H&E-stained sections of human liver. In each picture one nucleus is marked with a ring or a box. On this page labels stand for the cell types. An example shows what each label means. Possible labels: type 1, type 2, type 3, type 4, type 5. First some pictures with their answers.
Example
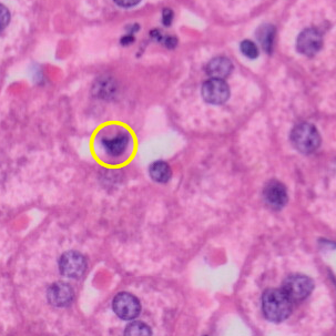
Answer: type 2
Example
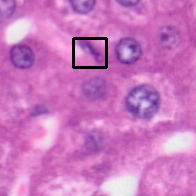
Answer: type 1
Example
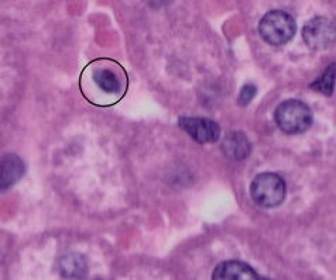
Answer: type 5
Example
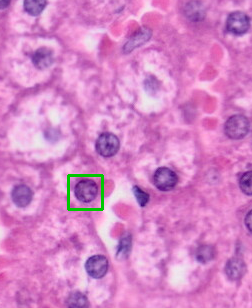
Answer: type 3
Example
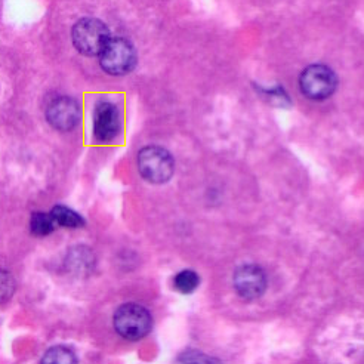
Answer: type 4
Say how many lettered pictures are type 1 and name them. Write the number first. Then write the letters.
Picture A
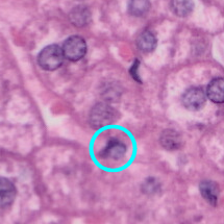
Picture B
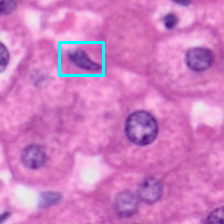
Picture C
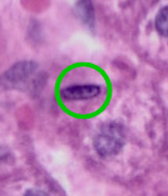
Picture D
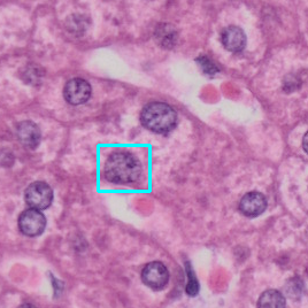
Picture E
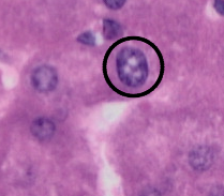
Count: 1 (A)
